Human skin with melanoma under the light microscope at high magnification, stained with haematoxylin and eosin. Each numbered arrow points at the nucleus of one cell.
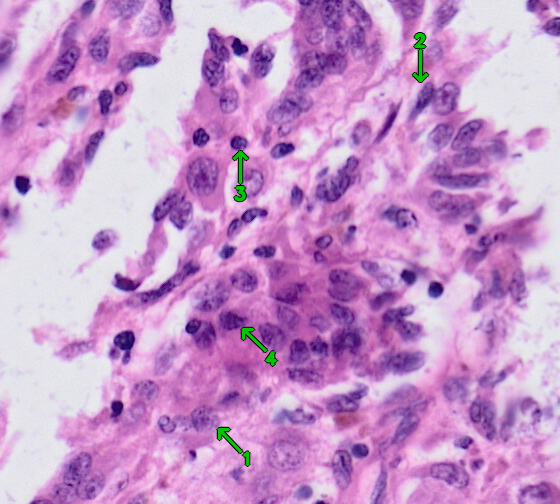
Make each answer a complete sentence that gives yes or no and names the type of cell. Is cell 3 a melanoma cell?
No, calling cell 3 a melanoma cell is incorrect; it is a lymphocyte.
